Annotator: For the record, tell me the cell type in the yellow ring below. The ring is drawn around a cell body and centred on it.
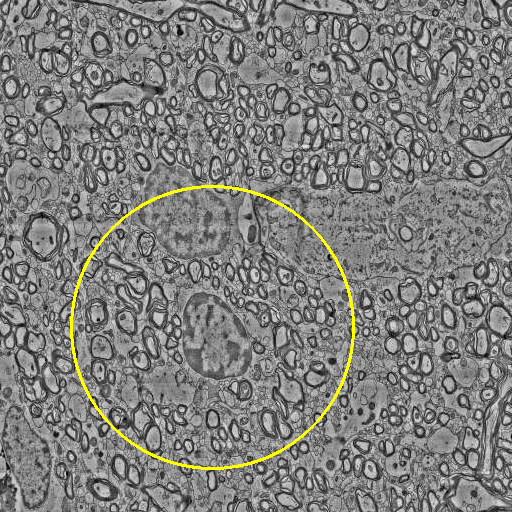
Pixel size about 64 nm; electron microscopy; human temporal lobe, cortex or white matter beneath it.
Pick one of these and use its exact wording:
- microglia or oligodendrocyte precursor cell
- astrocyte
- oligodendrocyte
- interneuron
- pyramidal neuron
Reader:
microglia or oligodendrocyte precursor cell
